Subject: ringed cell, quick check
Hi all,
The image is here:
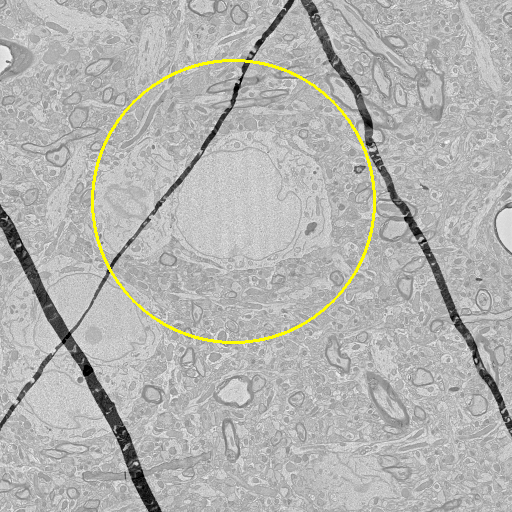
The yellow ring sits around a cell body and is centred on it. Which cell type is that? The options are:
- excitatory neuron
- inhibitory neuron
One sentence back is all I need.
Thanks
That ringed cell is an excitatory neuron.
